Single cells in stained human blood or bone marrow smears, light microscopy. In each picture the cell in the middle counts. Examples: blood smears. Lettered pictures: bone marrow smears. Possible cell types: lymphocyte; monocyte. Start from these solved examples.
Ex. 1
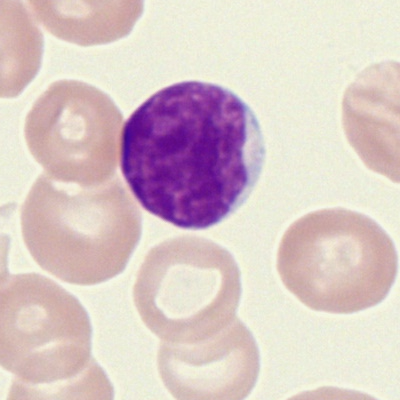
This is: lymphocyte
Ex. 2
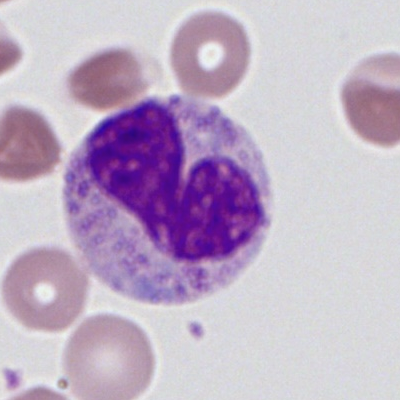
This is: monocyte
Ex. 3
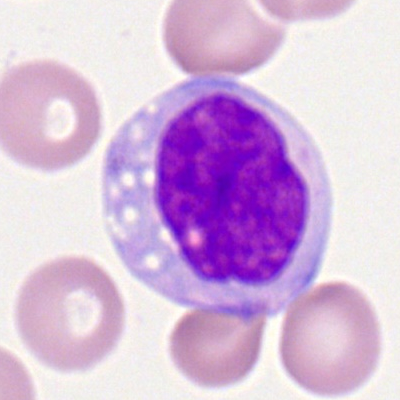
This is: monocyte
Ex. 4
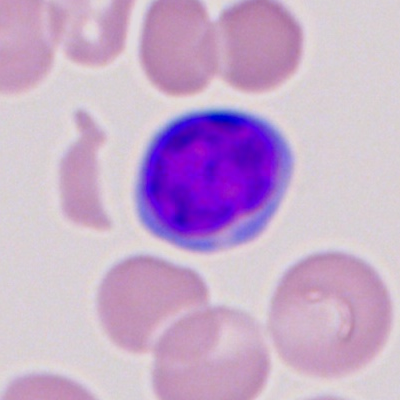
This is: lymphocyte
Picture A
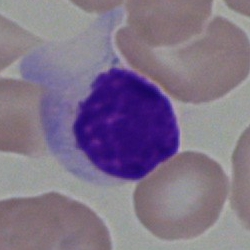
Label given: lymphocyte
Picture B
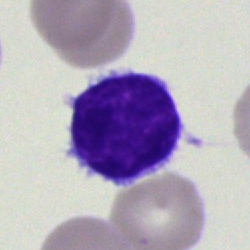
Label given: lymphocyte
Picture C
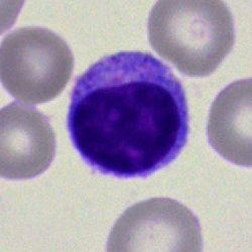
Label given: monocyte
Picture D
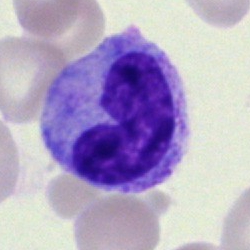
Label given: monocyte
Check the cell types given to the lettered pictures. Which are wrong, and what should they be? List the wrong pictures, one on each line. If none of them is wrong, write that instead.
C: not monocyte but lymphocyte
